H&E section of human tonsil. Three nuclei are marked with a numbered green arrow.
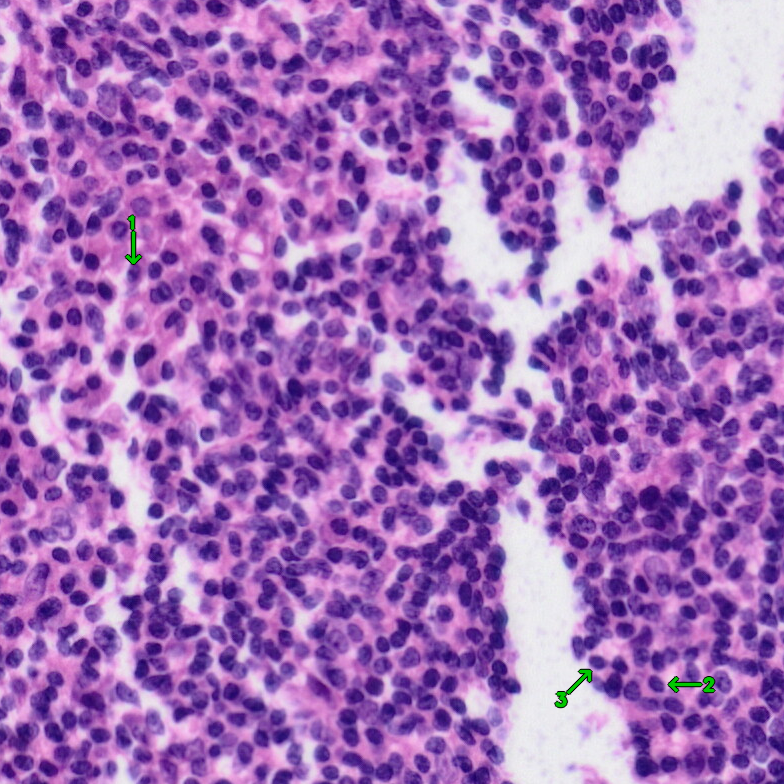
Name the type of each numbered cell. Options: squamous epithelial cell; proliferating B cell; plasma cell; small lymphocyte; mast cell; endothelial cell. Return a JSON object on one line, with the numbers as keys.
{"1": "plasma cell", "2": "small lymphocyte", "3": "small lymphocyte"}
